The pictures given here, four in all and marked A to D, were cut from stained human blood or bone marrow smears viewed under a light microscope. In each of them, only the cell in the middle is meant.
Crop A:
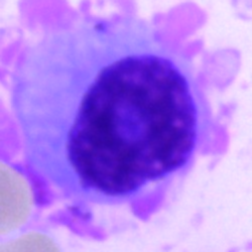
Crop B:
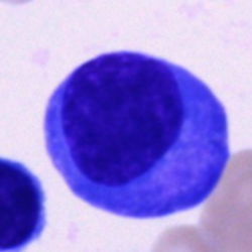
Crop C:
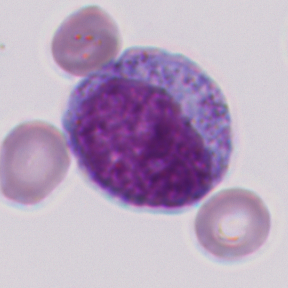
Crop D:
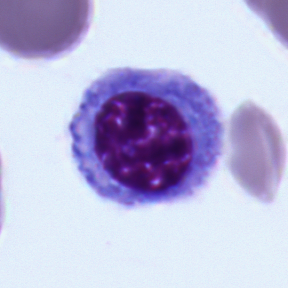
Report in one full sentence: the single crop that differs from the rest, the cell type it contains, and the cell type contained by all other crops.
All of the other crops show plasma cells; crop C, by contrast, is a myelocyte.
